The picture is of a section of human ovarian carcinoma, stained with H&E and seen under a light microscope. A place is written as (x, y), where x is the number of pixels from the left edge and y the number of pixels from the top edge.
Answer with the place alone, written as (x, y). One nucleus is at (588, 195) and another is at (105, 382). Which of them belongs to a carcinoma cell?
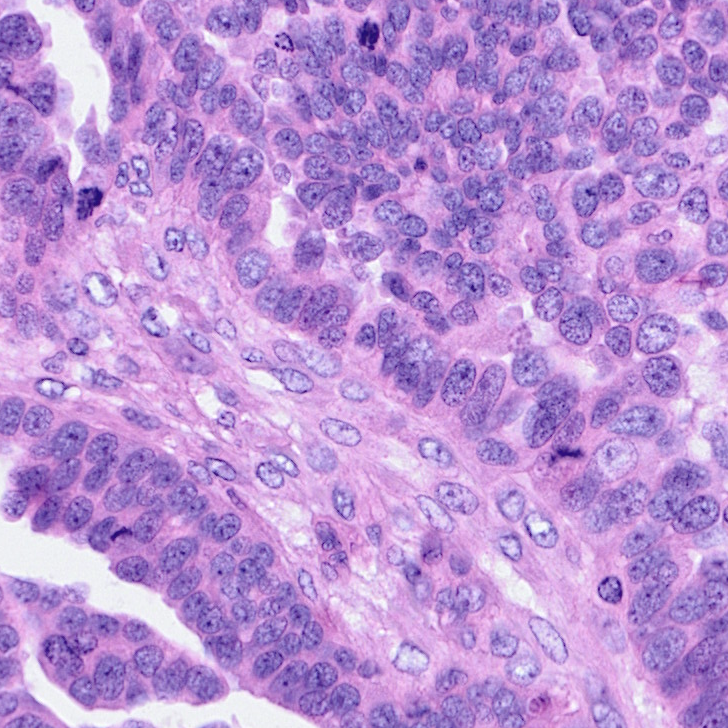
(588, 195)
